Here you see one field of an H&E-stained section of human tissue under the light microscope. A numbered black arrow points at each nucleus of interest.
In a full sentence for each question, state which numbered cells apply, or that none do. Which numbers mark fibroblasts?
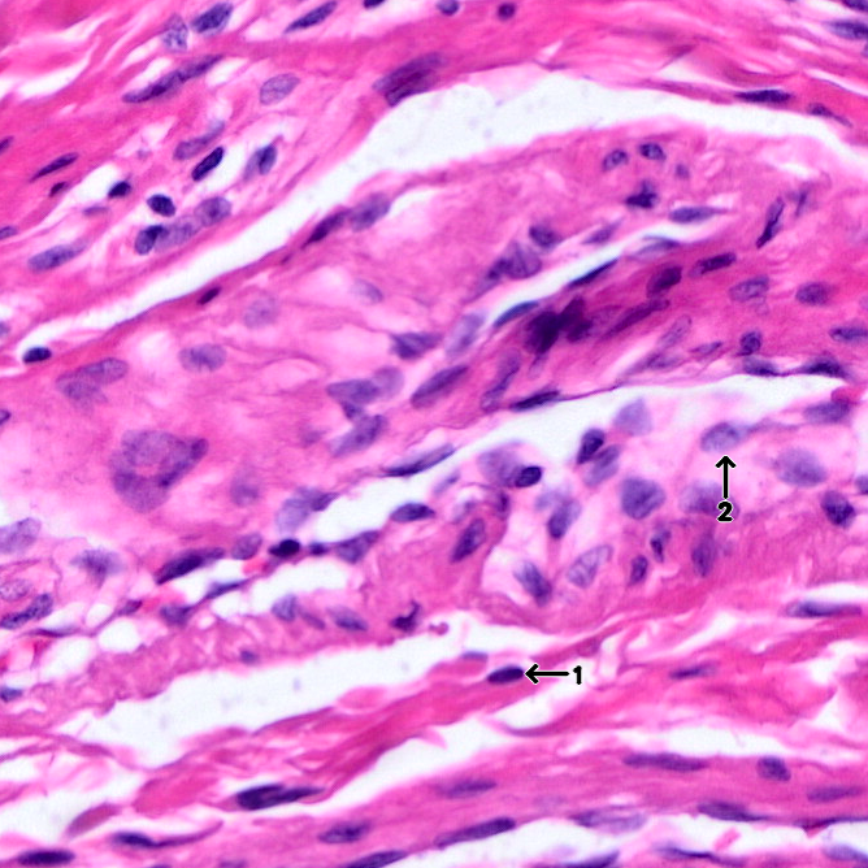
The numbered cells include exactly one that is a fibroblast, which is cell 1.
